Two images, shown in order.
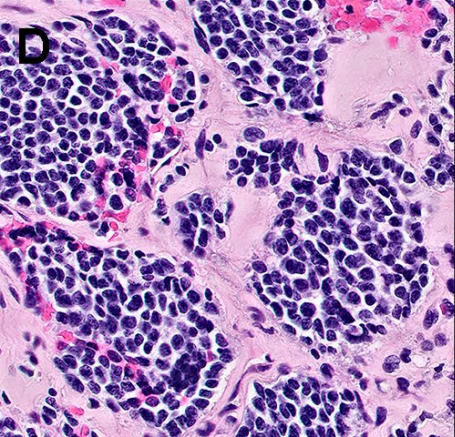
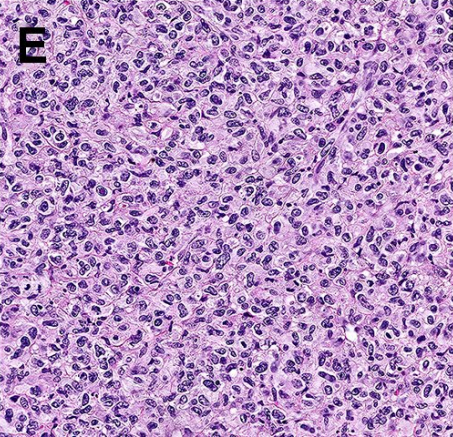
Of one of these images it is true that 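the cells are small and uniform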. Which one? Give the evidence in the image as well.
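The first image. Second image: nuclei vary in size and shape across a solid sheet. First image: small round nuclei of similar size grouped in nests.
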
